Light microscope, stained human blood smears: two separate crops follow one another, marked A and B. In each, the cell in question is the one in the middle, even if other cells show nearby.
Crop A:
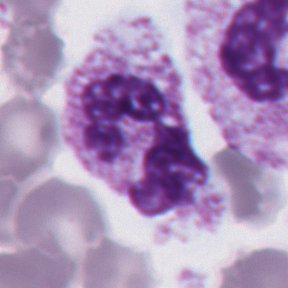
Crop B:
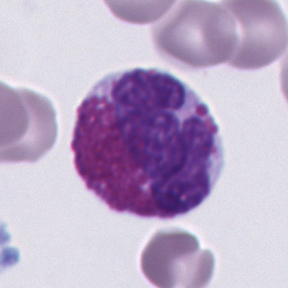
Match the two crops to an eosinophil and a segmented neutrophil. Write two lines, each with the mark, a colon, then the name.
A: segmented neutrophil
B: eosinophil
